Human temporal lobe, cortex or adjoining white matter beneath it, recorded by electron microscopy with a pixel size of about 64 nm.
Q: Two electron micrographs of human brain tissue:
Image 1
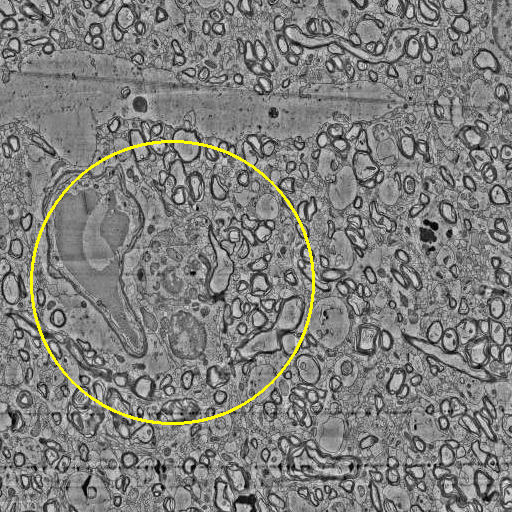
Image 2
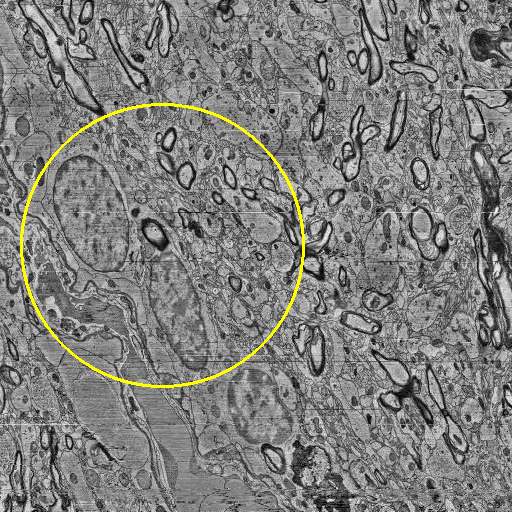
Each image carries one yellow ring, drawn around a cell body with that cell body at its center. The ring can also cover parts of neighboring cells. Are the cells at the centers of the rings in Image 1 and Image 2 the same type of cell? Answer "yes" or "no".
yes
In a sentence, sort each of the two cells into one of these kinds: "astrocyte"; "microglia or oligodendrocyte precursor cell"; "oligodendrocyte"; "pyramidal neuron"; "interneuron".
In the first picture and in the second, the ring is centred on an oligodendrocyte.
